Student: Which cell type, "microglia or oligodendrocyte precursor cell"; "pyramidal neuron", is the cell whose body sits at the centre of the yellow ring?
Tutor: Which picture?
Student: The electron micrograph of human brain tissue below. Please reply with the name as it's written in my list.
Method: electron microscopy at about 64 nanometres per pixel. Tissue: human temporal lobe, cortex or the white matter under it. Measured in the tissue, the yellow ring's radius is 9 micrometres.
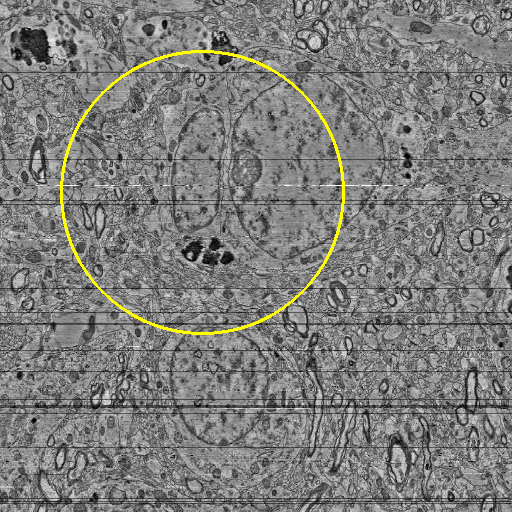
microglia or oligodendrocyte precursor cell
